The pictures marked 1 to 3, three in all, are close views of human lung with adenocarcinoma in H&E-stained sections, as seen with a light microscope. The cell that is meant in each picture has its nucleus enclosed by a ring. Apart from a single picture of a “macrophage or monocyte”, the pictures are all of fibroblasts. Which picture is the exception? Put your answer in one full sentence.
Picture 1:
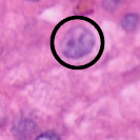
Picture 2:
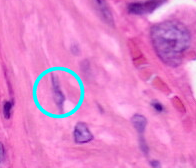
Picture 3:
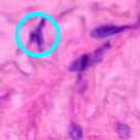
The cell in picture 1 is the “macrophage or monocyte”.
